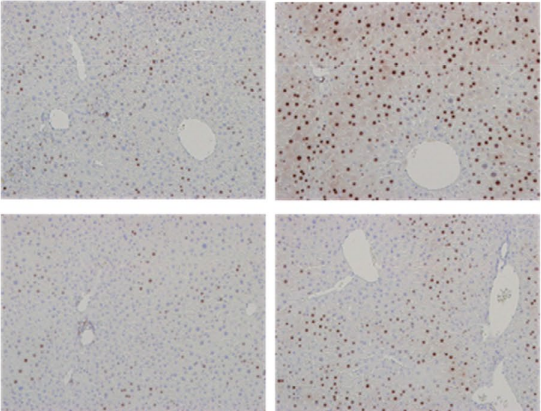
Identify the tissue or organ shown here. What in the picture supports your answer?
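Sheets of polygonal cells with round central nuclei fill the fields. Scattered round empty vessel lumens lie among the cell sheets. That points to this answer: liver.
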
